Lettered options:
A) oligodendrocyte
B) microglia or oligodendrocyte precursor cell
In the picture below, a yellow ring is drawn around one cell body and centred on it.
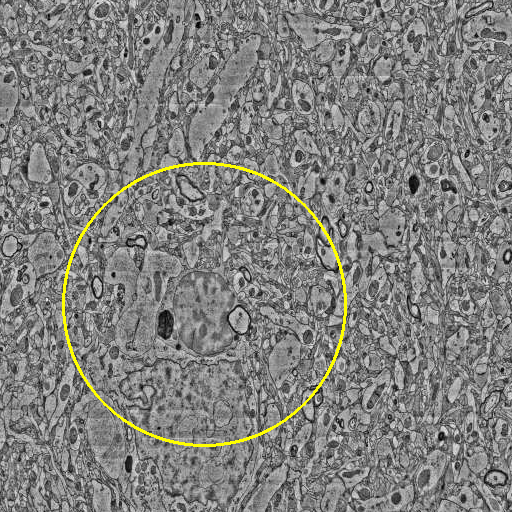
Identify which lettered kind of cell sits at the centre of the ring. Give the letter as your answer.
A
